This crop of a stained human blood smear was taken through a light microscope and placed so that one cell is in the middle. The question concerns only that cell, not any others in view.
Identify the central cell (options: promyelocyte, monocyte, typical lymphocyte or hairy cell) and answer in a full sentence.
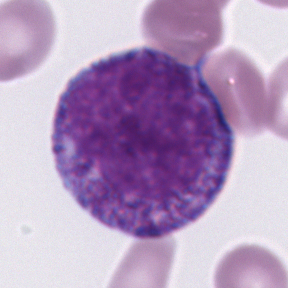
The crop's centre is taken up by a promyelocyte.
